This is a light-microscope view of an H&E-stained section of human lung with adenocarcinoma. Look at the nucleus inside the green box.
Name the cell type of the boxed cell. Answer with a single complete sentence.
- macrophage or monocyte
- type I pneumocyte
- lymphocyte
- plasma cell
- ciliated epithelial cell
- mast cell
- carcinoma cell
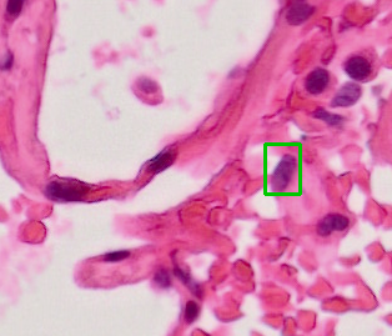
This is a type I pneumocyte.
